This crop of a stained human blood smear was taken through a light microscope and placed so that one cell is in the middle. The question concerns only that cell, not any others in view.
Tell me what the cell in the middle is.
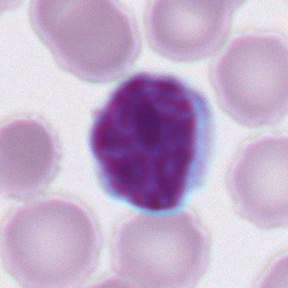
typical lymphocyte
